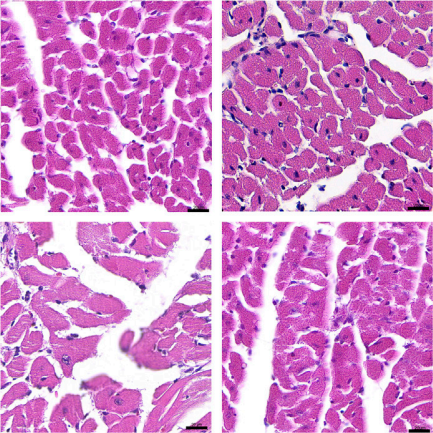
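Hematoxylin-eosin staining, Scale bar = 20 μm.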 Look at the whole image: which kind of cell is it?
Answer: Cardiomyocytes.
